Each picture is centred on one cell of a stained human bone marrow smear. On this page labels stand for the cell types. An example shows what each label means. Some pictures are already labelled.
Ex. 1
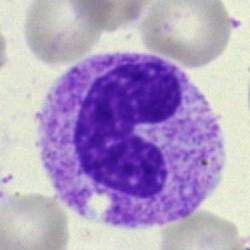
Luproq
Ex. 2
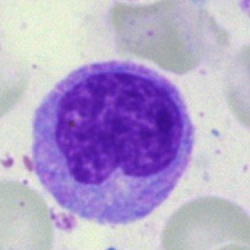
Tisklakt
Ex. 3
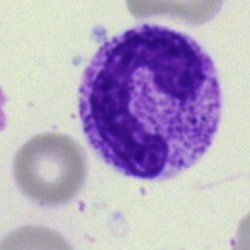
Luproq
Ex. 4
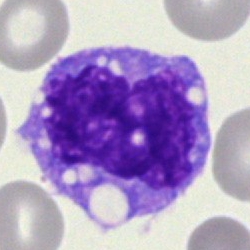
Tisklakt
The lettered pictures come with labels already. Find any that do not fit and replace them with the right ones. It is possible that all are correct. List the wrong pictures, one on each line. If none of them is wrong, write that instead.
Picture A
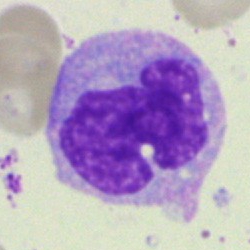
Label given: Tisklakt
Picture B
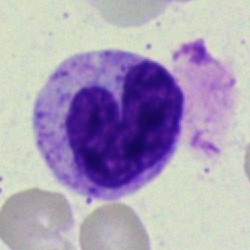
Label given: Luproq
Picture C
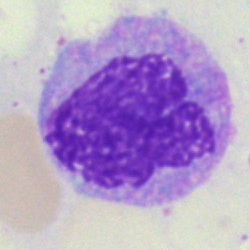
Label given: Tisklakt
None of the labels needs changing.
